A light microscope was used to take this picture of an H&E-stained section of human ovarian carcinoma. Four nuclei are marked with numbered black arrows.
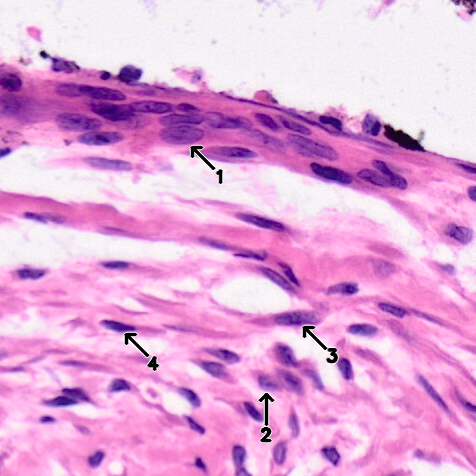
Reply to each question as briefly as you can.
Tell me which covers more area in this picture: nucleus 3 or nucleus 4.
3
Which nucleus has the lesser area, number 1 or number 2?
2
